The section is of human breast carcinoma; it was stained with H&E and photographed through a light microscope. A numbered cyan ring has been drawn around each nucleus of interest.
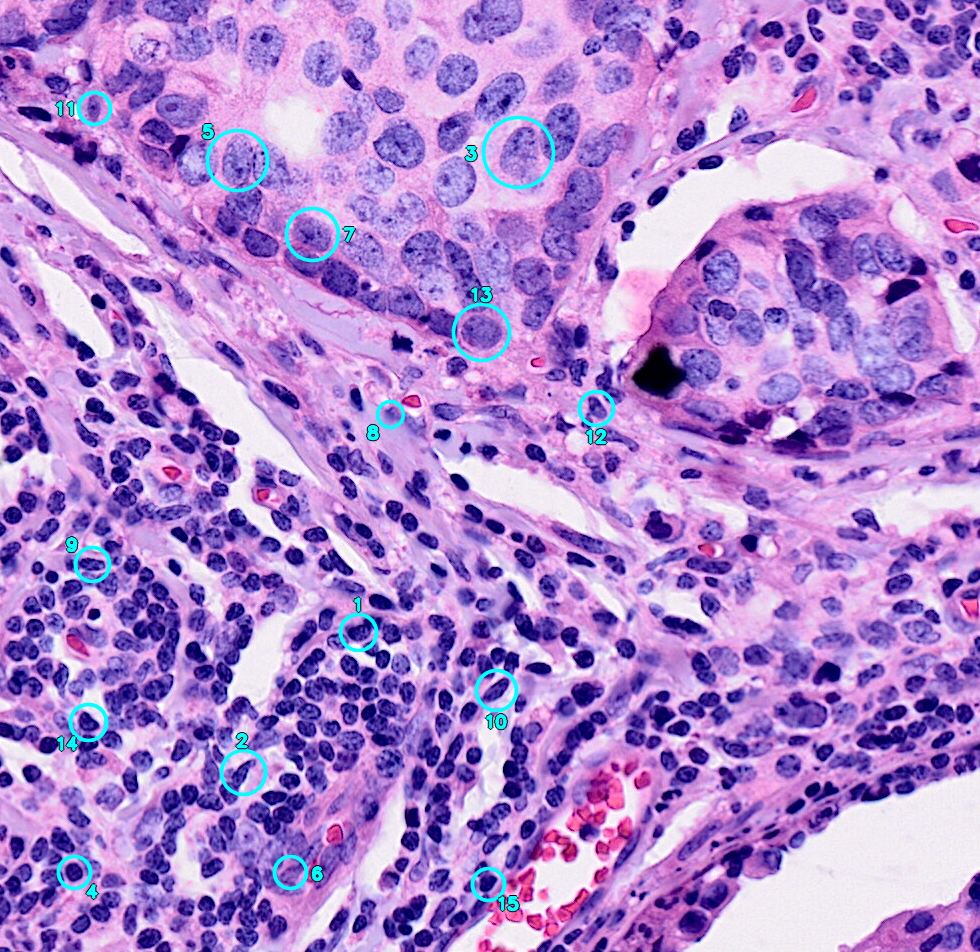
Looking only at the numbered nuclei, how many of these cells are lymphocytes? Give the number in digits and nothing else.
8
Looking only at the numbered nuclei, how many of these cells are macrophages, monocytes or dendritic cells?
1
